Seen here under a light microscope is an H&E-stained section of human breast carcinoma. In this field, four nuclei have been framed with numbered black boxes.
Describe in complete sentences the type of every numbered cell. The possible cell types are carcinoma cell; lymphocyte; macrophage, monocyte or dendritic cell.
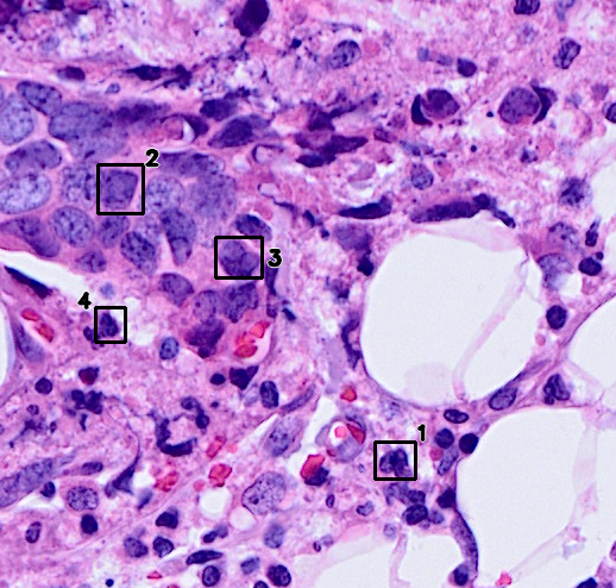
Cell 1 is a lymphocyte, cell 2 is a carcinoma cell, cell 3 is a carcinoma cell and cell 4 is a lymphocyte.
